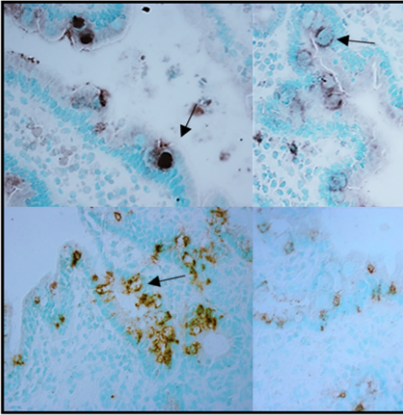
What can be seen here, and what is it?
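Small intestinal mucosa with villi lined by a single layer of tall columnar epithelium, counterstained blue-green. Scattered goblet cells lie among the columnar cells, each with a rounded, distended apical cup. In the lower row brown stain lies in the cytoplasm of goblet cells; in the left image brown stain is widespread over many epithelial cells near the surface, while in the right image it is limited to scattered single cells along the epithelium.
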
